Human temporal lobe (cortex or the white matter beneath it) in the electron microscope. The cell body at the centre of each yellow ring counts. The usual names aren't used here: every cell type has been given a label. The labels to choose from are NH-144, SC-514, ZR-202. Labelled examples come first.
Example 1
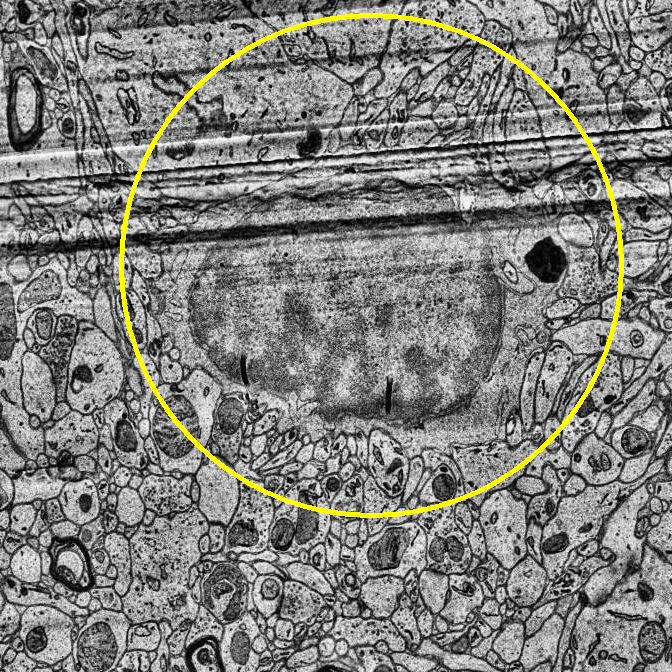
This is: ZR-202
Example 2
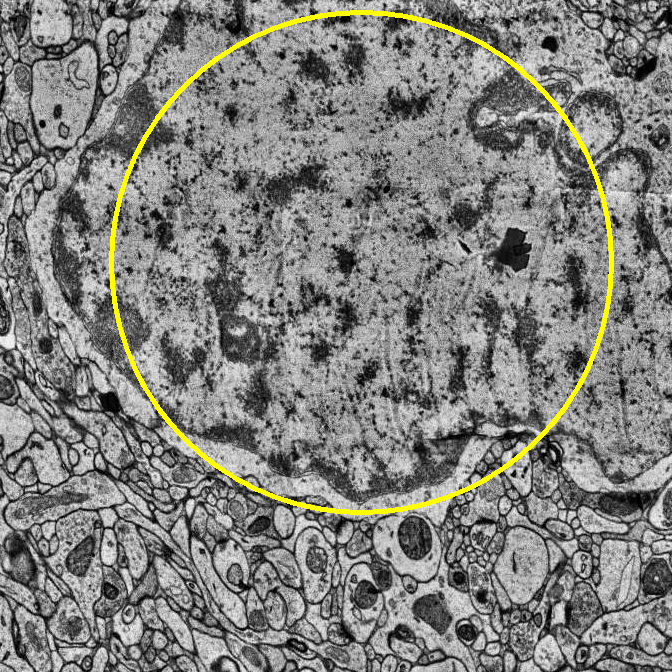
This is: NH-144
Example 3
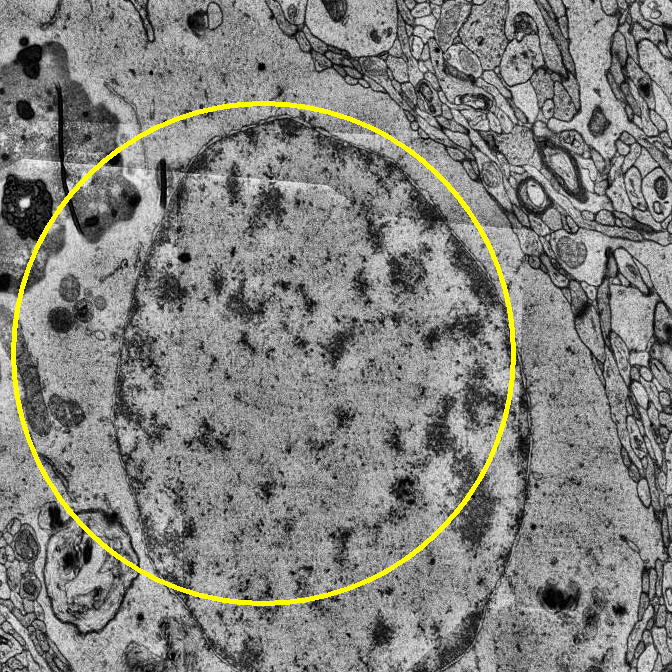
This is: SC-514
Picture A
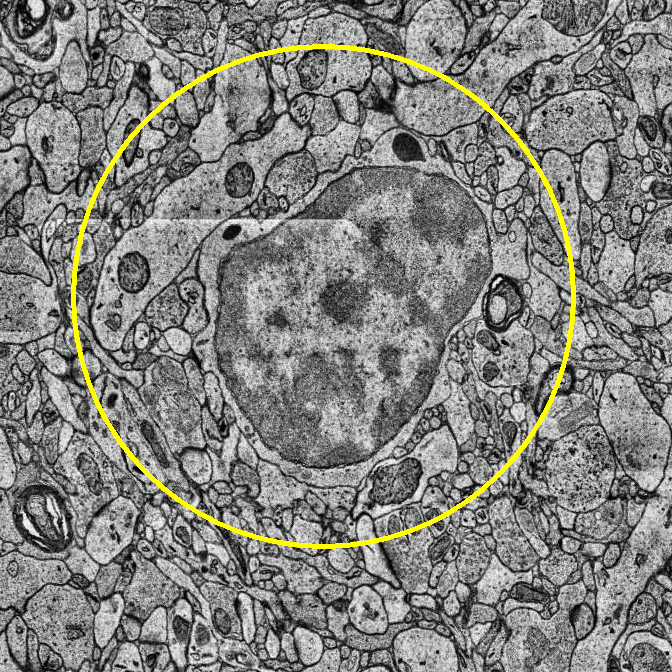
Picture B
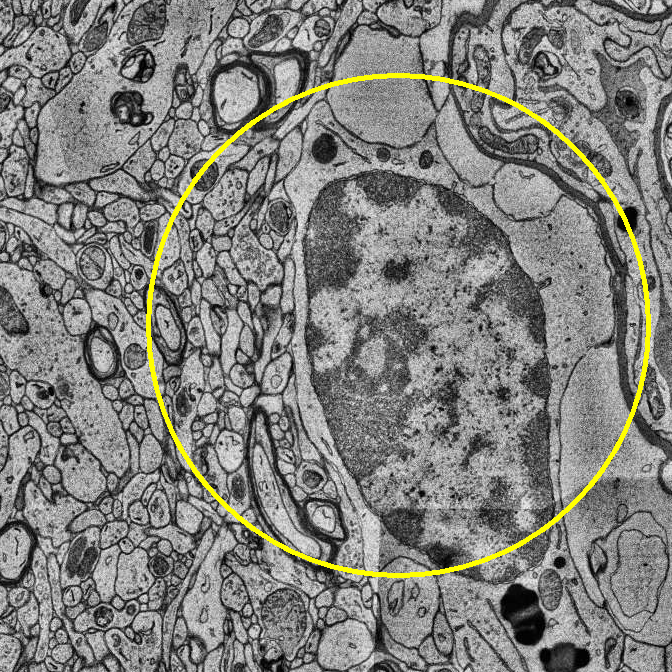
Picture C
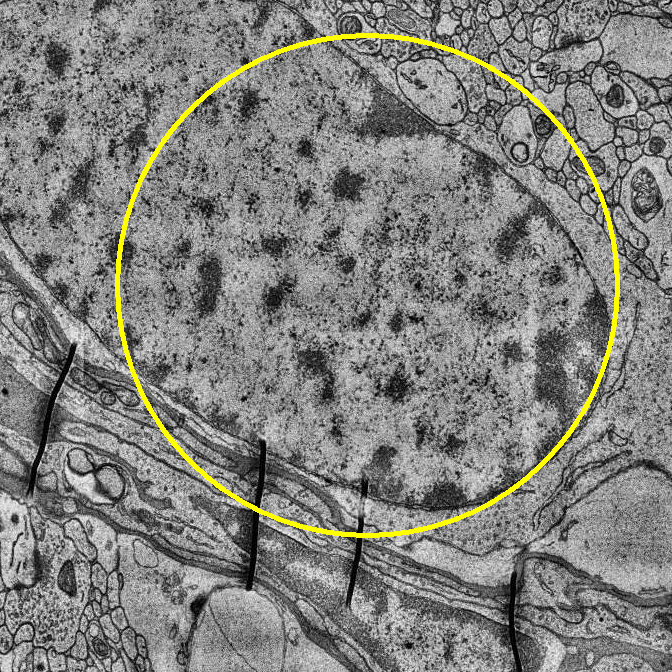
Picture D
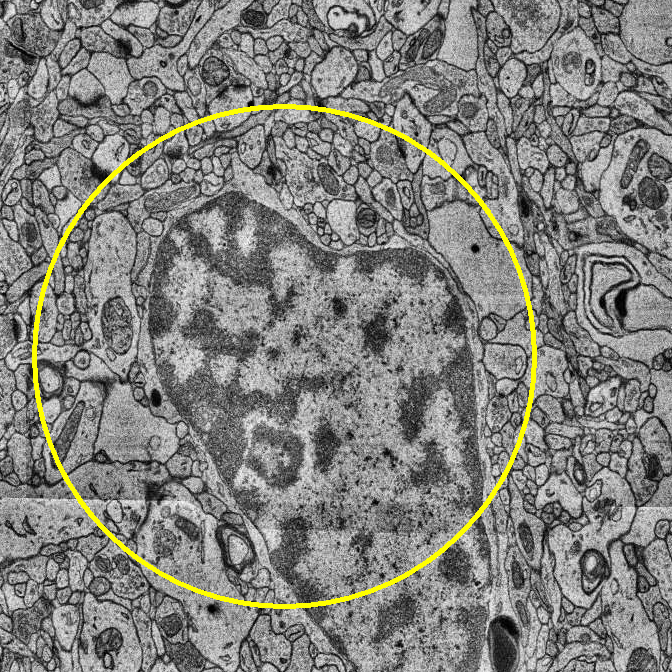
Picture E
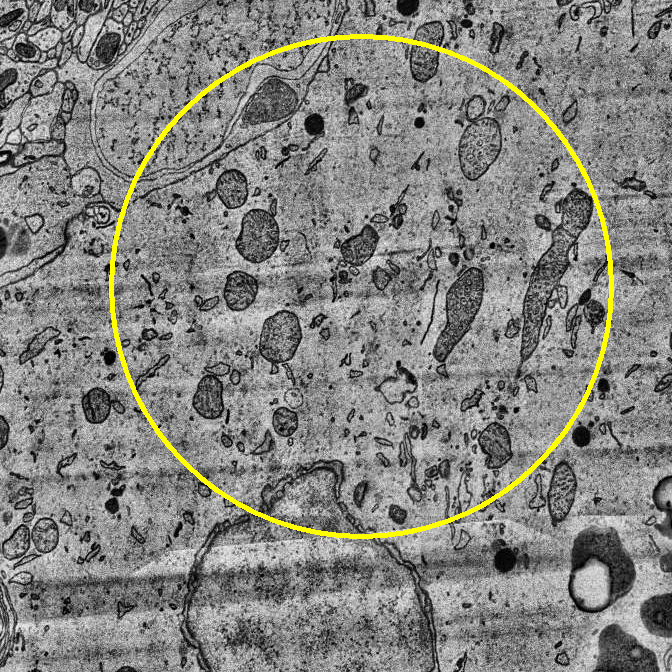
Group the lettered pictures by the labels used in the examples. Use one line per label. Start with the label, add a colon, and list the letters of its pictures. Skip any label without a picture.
NH-144: A, B, C, D
ZR-202: E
